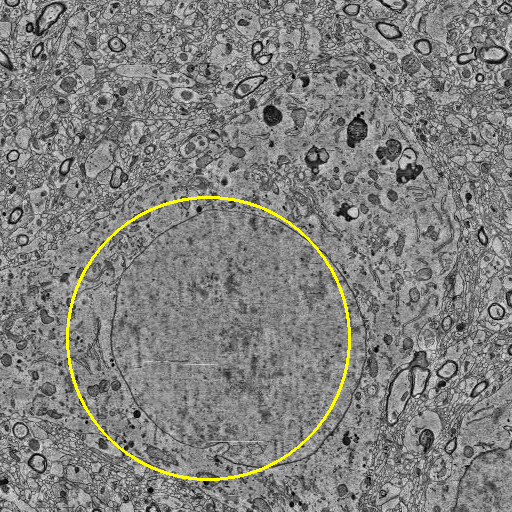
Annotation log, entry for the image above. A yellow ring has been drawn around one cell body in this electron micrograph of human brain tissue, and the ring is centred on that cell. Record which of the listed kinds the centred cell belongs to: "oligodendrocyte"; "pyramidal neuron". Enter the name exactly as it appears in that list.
pyramidal neuron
